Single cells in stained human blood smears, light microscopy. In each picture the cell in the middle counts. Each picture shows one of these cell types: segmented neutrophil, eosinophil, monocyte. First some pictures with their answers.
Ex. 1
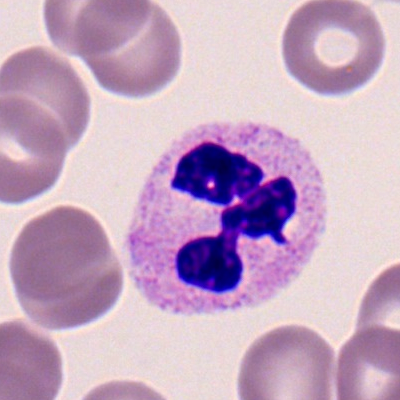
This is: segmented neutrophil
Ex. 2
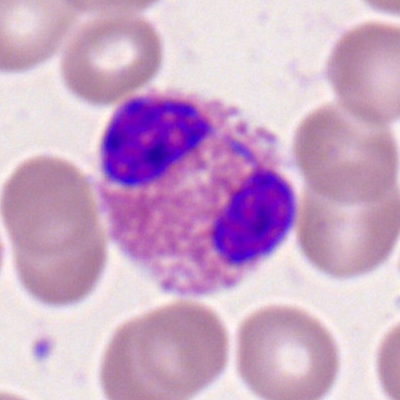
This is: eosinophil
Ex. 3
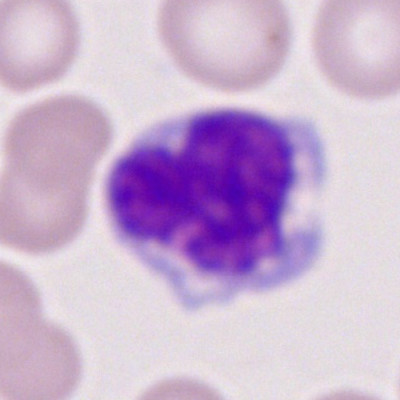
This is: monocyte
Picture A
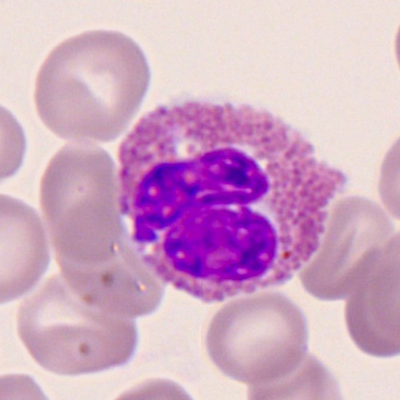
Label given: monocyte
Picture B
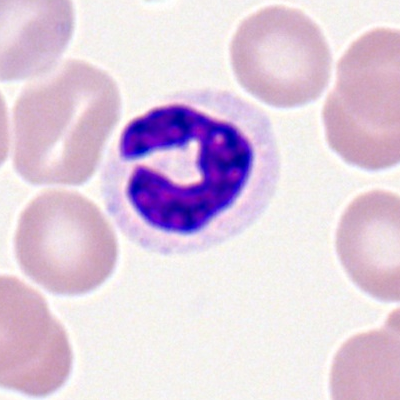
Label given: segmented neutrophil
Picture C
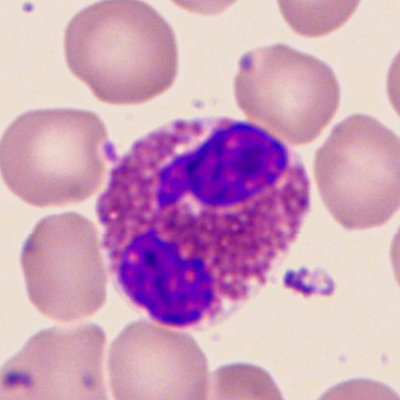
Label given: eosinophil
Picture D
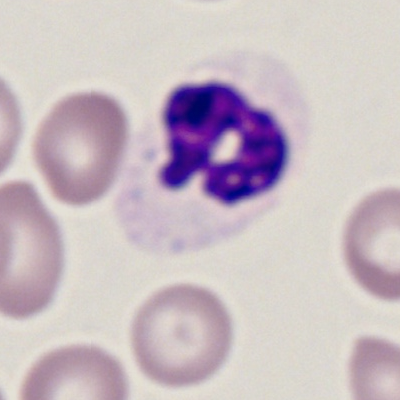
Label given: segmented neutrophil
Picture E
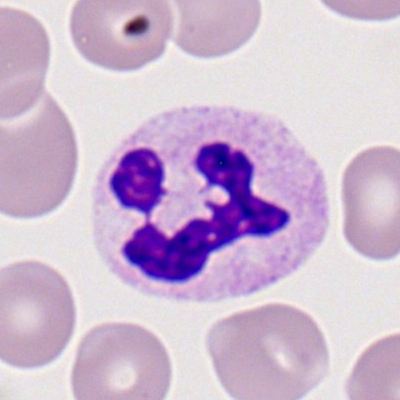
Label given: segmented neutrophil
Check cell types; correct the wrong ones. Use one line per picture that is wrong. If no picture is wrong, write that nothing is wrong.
A: eosinophil, not monocyte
